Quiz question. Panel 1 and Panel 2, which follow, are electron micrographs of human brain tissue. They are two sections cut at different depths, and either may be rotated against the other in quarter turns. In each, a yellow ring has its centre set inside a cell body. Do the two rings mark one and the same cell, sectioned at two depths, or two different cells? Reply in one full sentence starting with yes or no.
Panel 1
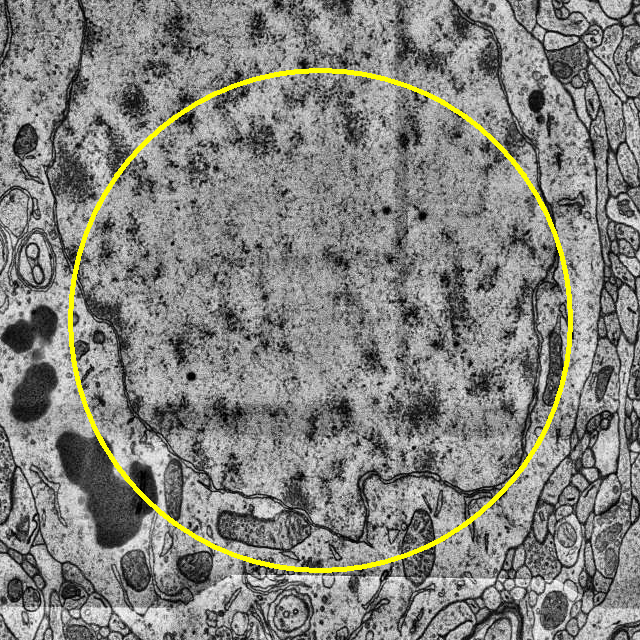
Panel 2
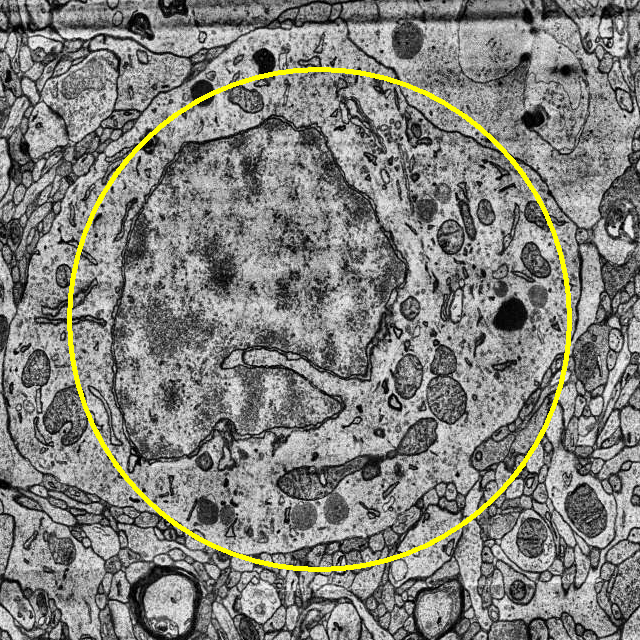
No, the two rings in this image mark separate cells.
